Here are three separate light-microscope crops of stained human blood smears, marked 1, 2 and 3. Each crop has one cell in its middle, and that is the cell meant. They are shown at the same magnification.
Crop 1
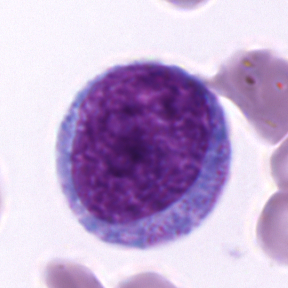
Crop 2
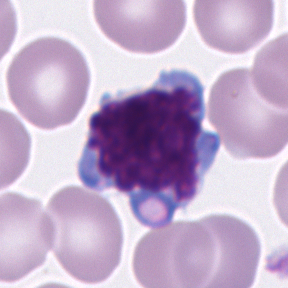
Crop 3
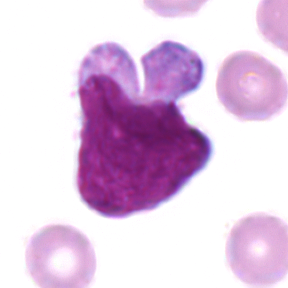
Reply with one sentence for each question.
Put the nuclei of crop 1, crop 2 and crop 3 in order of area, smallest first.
Smallest first: 2, 3, 1.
